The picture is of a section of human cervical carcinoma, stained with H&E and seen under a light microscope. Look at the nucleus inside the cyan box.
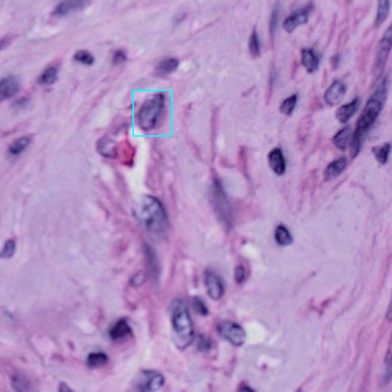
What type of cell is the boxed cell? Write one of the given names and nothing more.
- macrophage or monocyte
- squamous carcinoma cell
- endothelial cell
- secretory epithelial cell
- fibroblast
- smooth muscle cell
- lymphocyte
endothelial cell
